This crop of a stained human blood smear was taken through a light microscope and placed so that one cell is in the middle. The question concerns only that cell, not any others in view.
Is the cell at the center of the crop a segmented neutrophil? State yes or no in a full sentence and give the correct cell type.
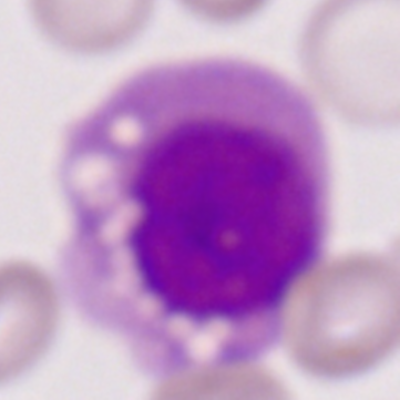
No, what is seen at the centre is a monocyte instead of a segmented neutrophil.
